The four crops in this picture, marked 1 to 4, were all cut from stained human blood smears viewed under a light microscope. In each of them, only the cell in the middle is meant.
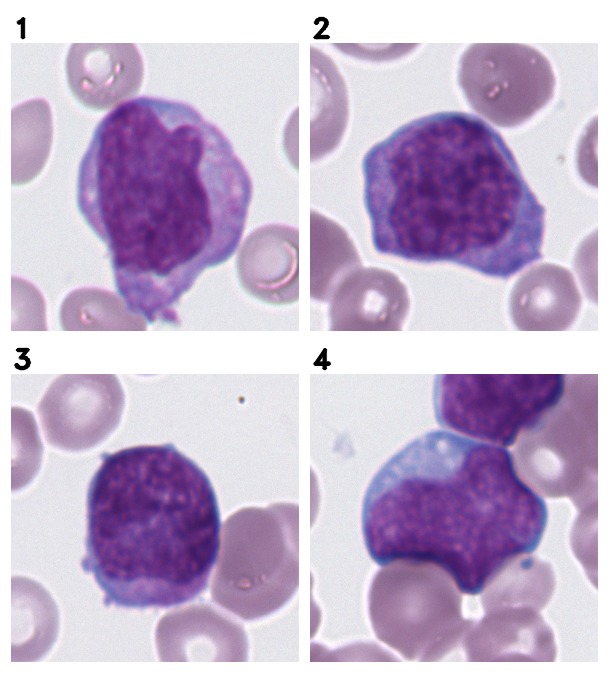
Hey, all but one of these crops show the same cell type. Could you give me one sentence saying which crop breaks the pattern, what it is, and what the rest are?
Crop 4 is singled out as a myeloblast, and all of the other crops show atypical promyelocytes.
